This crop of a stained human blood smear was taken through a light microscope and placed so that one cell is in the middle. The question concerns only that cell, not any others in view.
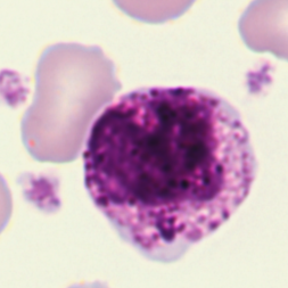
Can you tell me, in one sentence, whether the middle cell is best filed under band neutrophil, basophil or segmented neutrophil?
Within this crop, a basophil occupies the central position.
